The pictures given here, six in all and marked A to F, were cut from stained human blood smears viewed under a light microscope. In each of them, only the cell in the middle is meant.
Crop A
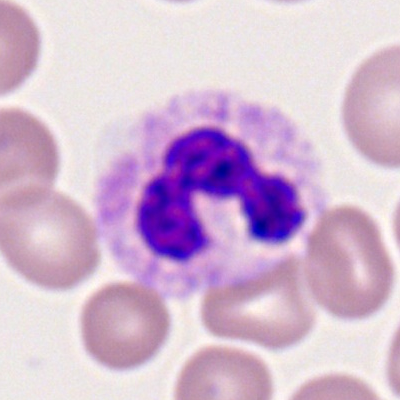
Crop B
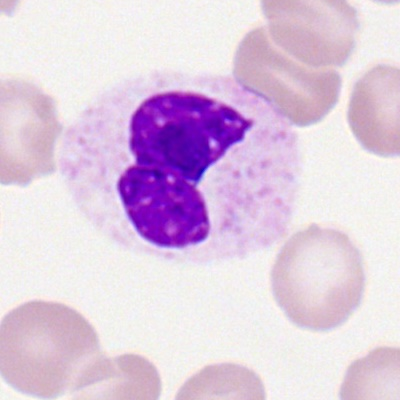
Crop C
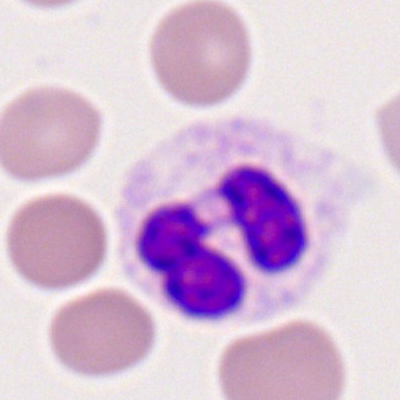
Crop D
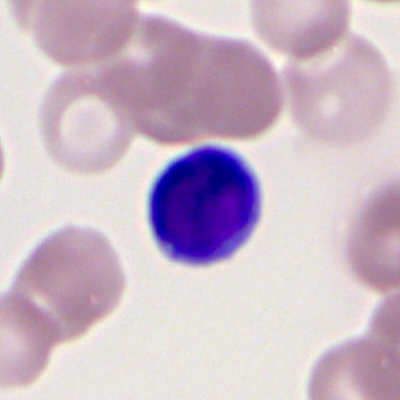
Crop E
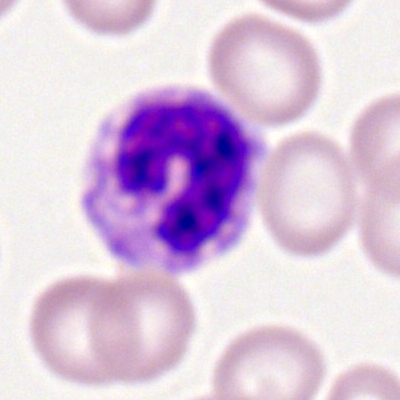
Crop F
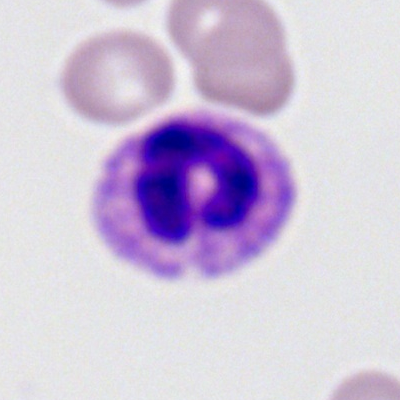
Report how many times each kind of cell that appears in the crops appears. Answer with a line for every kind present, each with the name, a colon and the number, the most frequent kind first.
segmented neutrophil: 3
band neutrophil: 2
lymphocyte: 1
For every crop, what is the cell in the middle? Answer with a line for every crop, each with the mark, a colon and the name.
A: segmented neutrophil
B: segmented neutrophil
C: segmented neutrophil
D: lymphocyte
E: band neutrophil
F: band neutrophil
